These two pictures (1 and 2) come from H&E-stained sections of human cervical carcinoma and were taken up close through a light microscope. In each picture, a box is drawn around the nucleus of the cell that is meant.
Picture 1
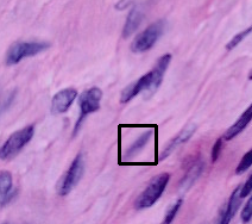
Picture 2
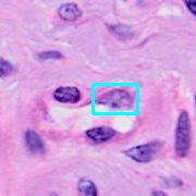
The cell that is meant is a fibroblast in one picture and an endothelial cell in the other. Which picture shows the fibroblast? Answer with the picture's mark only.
1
